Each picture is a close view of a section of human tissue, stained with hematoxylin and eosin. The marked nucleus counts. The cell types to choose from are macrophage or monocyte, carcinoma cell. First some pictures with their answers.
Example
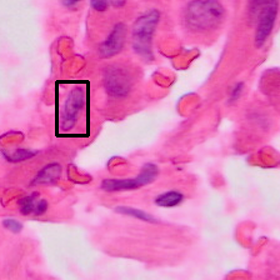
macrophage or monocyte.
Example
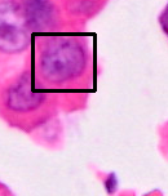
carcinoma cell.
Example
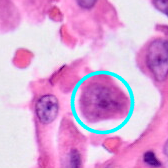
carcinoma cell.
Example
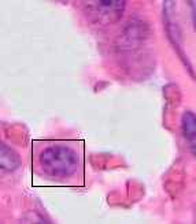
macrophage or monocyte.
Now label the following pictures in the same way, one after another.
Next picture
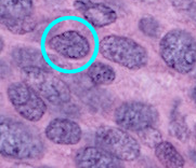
carcinoma cell.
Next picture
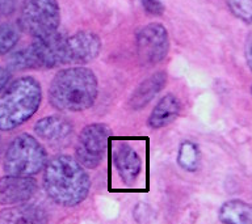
macrophage or monocyte.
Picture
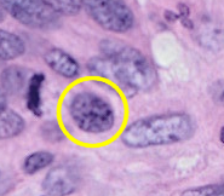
macrophage or monocyte.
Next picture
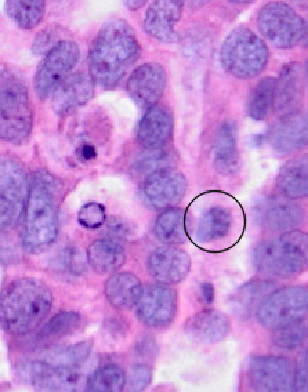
macrophage or monocyte.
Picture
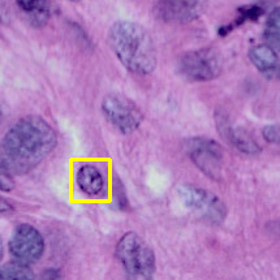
macrophage or monocyte.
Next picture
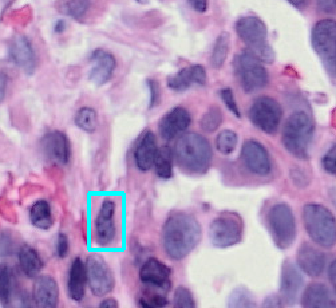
macrophage or monocyte.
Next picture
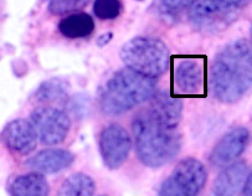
carcinoma cell.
